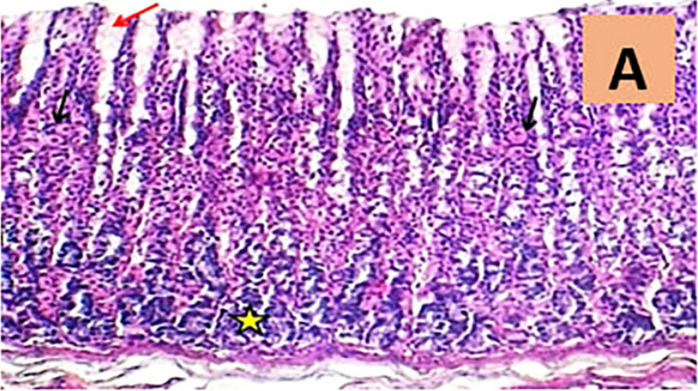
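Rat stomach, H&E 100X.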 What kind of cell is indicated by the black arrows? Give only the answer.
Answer: Parietal cells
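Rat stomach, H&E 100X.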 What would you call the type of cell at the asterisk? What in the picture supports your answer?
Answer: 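The asterisk lies in the deep part of the mucosa next to the muscle layer. The cells there stain darker purple than those above.
Hence: chief cells.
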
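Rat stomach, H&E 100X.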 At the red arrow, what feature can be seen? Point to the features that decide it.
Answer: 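The arrow points to a narrow pale cleft opening at the mucosal surface. Such clefts recur at regular intervals along the top of the mucosa. On this evidence: gastric pits.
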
